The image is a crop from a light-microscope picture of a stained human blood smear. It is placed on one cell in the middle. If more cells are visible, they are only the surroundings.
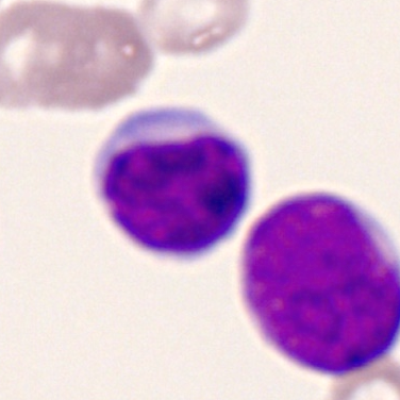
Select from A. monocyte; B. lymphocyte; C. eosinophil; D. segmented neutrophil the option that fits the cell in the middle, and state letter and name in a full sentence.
That middle cell is a lymphocyte, and option B is therefore correct.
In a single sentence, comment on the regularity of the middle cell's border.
The edge of the cell is unbroken and smooth, bearing no projections.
